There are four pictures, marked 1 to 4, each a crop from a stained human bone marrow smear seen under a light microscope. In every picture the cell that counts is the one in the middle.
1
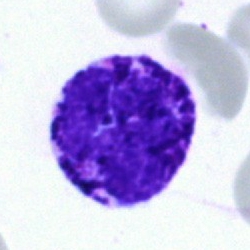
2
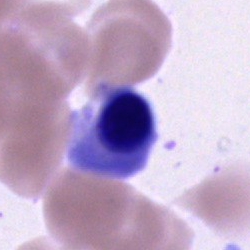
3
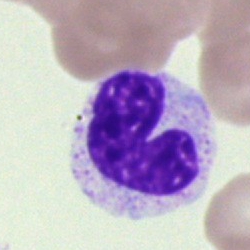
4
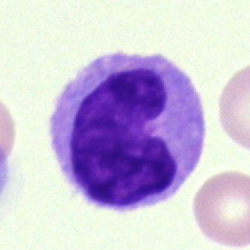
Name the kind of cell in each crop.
1: basophil
2: normoblast
3: band neutrophil
4: monocyte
